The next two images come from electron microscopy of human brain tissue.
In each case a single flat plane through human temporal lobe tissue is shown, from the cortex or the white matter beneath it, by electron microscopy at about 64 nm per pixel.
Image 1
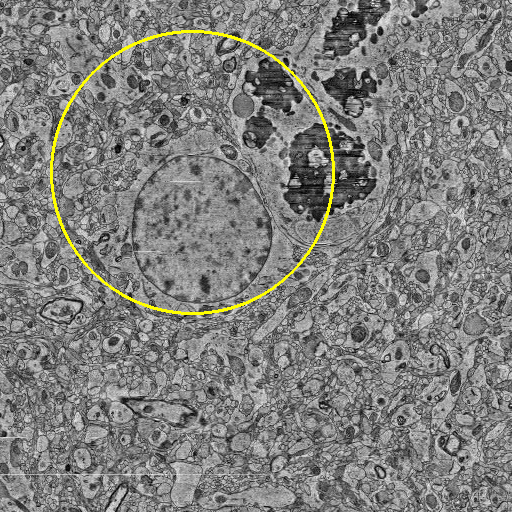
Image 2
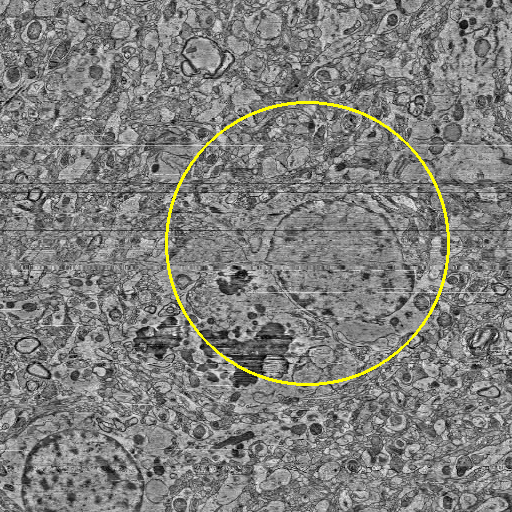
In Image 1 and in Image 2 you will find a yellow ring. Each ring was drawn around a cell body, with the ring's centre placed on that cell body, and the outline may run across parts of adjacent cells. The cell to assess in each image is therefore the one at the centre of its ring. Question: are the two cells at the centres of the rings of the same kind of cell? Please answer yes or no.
yes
